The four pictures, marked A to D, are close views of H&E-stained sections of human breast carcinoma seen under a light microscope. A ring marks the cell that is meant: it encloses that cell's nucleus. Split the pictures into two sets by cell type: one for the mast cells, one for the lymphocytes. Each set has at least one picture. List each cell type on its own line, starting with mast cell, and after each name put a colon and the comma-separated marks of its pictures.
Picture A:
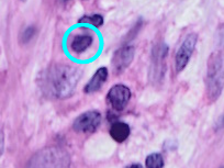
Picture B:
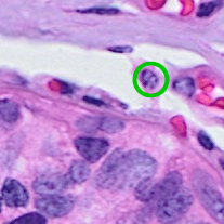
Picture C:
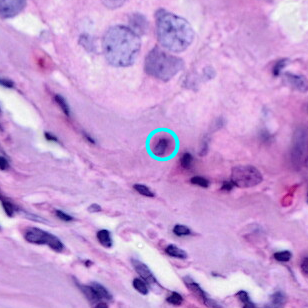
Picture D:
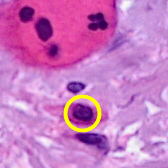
mast cell: B, C, D
lymphocyte: A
